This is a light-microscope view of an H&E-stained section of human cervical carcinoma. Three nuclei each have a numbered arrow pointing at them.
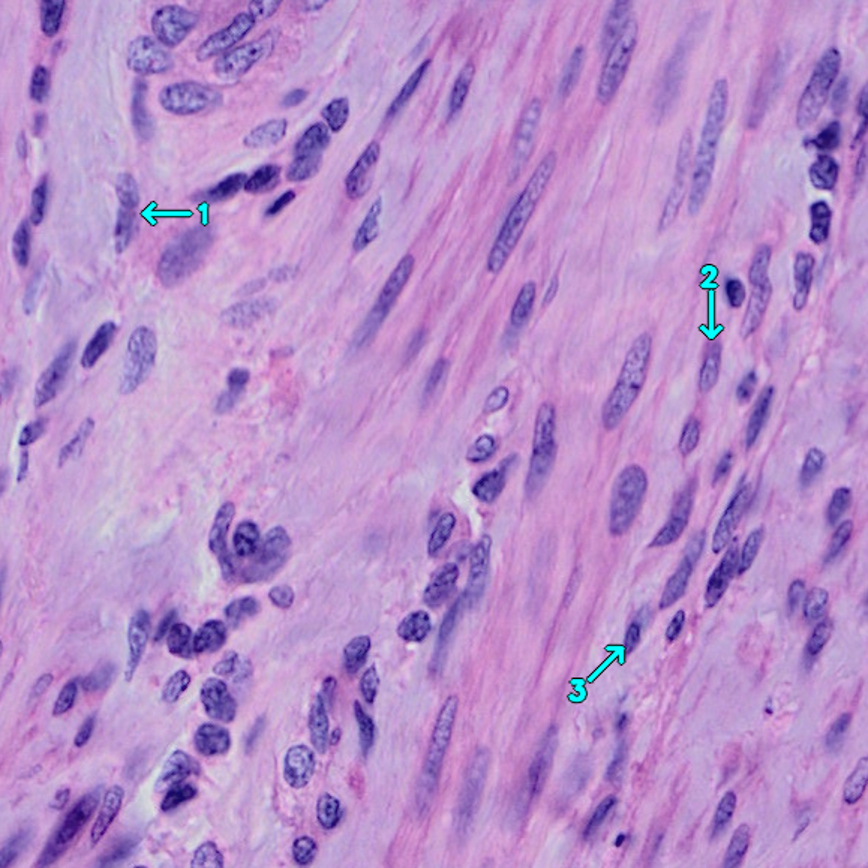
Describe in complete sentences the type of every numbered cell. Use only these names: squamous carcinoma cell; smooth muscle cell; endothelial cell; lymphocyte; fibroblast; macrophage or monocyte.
Cell 1 is a fibroblast, cell 2 is a smooth muscle cell and cell 3 is a smooth muscle cell.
